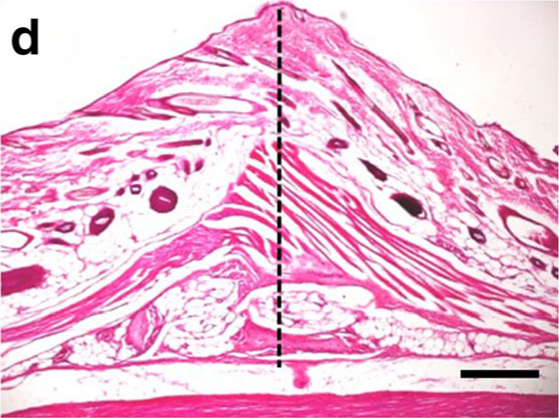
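The skin surface is drawn up into a pointed peak directly above the dashed line. Pink collagen strands of the dermis run obliquely from both sides and converge toward the line, giving a twisted, fan-like pattern. Hair follicle profiles and pale fat cells are displaced and stretched on either side. The normally flat, parallel layering of the skin is lost in this region.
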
